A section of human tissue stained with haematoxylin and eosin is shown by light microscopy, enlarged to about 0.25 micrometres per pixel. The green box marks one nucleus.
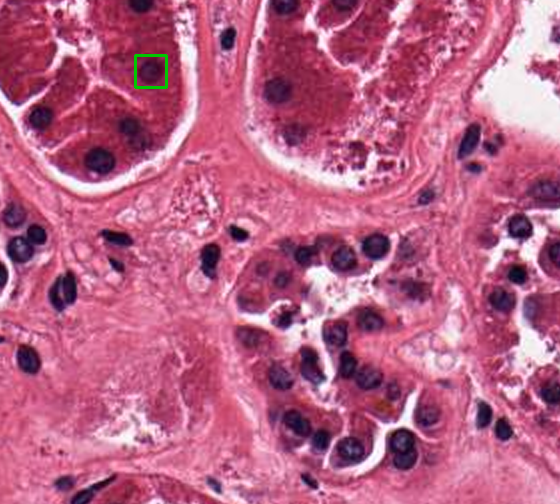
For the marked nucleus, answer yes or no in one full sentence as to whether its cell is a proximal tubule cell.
Yes, a proximal tubule cell is what the marked nucleus belongs to.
